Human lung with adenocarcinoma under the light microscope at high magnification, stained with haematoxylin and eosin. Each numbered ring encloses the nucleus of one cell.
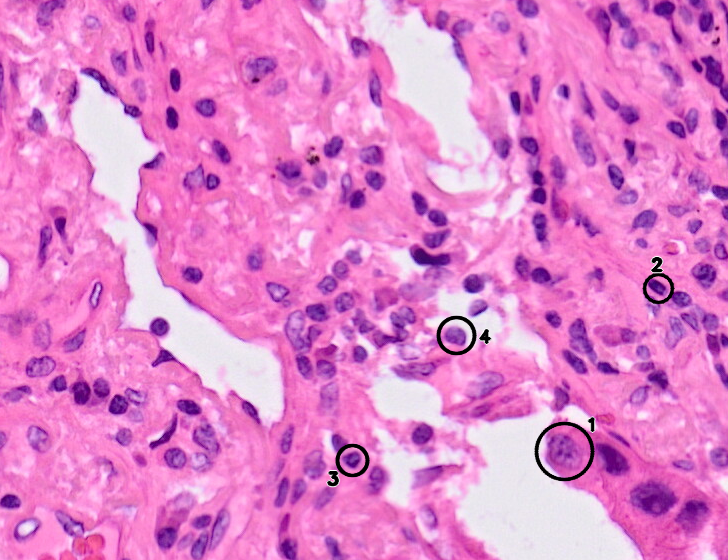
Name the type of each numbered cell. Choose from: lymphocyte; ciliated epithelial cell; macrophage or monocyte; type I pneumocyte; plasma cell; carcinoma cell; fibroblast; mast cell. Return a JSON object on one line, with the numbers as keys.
{"1": "carcinoma cell", "2": "lymphocyte", "3": "lymphocyte", "4": "lymphocyte"}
